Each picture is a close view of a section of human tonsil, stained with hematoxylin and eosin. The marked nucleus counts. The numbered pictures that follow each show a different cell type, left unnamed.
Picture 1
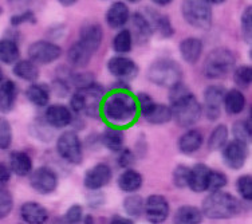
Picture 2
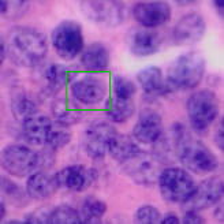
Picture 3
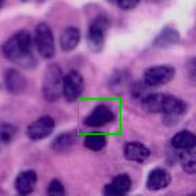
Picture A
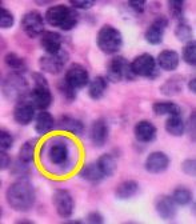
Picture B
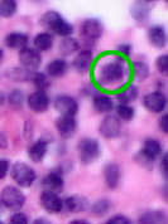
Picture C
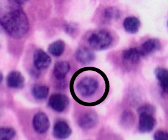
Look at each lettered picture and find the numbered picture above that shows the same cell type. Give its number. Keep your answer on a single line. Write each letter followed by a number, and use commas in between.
A 1, B 1, C 3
